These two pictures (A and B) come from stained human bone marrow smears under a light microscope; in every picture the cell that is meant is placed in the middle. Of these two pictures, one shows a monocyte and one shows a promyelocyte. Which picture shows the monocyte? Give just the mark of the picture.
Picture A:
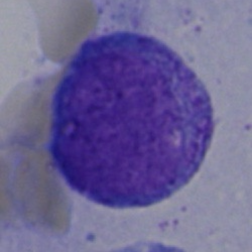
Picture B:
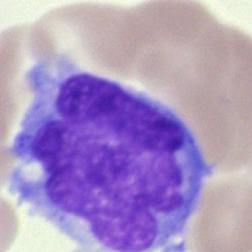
B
